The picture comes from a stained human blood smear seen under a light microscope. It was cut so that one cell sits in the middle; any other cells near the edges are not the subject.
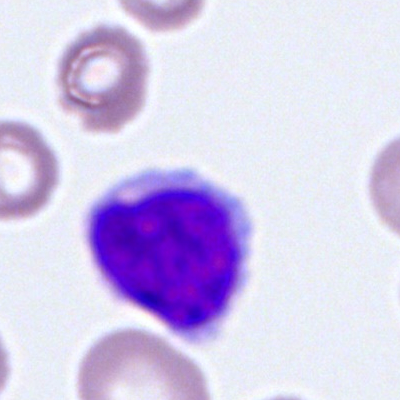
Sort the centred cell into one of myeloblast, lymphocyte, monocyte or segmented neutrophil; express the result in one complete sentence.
Whatever else lies nearby, the middle cell is a lymphocyte.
